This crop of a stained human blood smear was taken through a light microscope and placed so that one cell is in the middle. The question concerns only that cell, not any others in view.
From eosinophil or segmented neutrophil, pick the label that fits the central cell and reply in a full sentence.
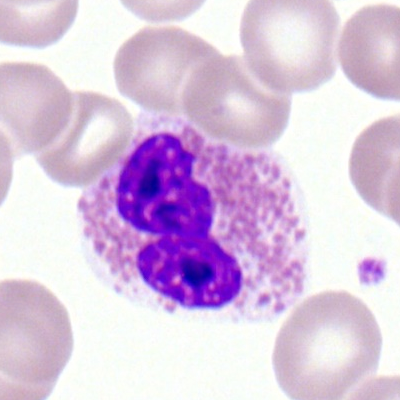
The cell of interest, located centrally, is an eosinophil.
